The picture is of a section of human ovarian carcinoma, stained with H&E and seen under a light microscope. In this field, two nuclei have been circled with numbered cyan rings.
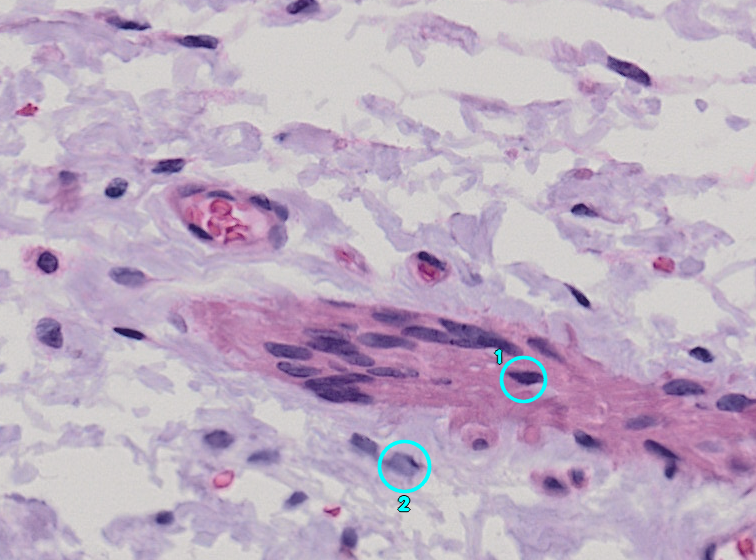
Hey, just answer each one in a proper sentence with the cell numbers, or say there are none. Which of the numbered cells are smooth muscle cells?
Cell 1 is a smooth muscle cell, which is true of none of the other numbered cells.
